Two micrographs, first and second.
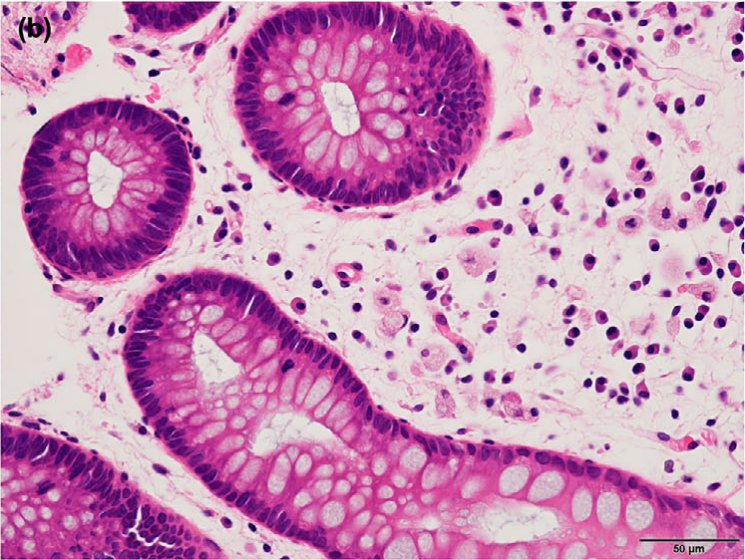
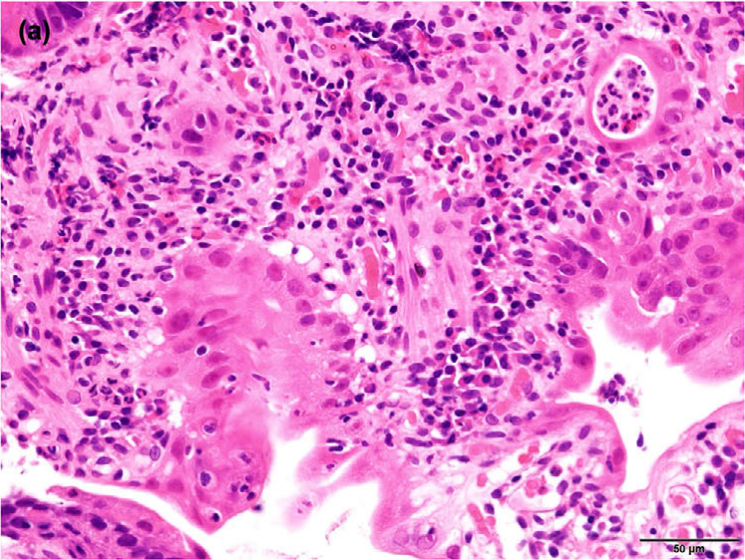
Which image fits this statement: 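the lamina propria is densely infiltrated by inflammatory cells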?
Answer: the second image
